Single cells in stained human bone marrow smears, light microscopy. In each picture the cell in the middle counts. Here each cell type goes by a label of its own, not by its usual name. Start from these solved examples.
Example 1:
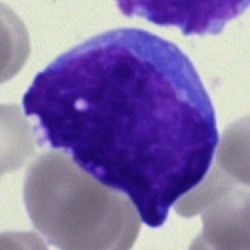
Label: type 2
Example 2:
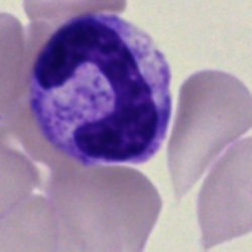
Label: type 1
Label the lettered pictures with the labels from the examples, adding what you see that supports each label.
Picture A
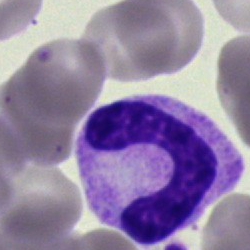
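type 1. Reason: The nucleus is a curved horseshoe shape whose open side faces left.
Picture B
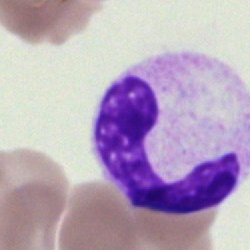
type 1. Reason: The cytoplasm is abundant and pale lilac-pink.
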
